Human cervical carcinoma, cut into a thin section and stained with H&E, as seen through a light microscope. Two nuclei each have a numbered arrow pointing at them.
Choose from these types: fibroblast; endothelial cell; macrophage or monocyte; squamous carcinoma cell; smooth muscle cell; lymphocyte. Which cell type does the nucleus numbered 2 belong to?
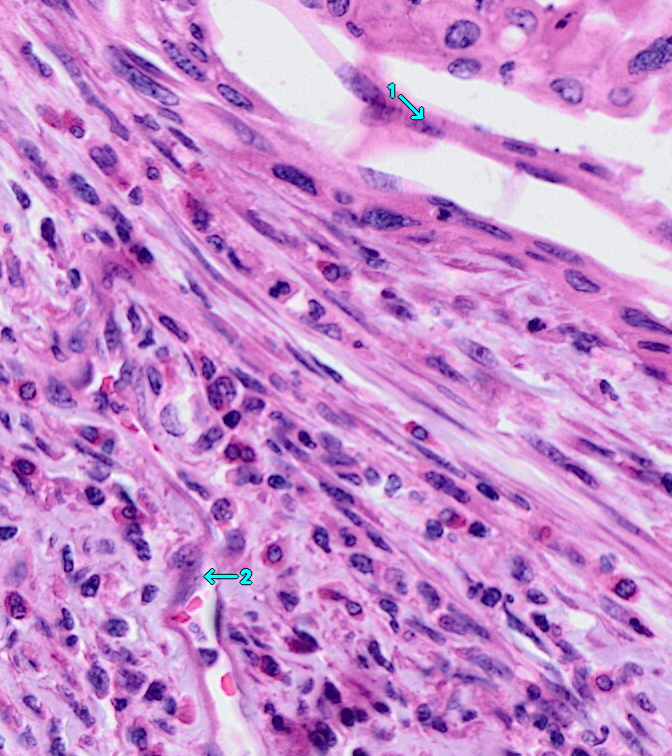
endothelial cell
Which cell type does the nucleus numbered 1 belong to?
squamous carcinoma cell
